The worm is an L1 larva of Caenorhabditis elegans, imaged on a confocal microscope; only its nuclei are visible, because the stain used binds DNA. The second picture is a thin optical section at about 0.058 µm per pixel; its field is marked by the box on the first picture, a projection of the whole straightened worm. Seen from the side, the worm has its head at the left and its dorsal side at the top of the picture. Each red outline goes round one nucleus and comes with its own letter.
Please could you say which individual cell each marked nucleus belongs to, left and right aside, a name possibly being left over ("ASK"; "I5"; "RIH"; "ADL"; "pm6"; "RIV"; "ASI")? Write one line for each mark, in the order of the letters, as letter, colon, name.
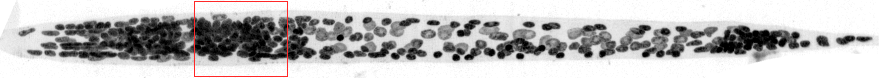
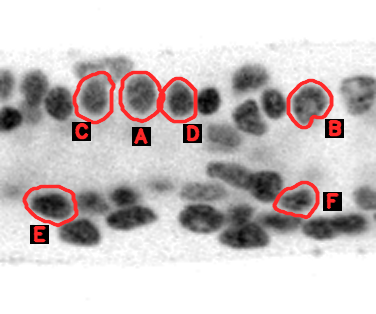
A: ADL
B: pm6
C: ASK
D: ASI
E: RIH
F: I5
